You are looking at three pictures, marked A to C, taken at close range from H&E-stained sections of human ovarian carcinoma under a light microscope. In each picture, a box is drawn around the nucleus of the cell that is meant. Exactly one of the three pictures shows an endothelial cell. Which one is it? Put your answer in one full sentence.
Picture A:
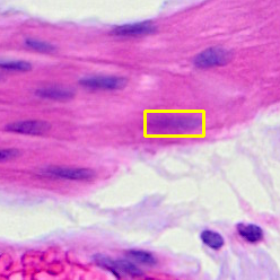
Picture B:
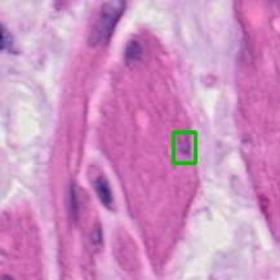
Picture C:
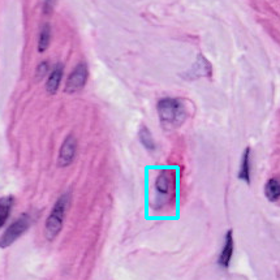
The endothelial cell is the one in picture C.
